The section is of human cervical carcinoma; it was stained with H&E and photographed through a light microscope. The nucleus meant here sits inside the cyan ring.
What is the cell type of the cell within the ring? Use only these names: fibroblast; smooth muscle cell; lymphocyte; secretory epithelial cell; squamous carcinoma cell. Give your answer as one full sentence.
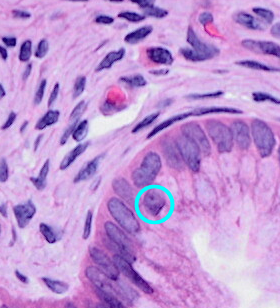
Microscopically, the cell within the ring is categorized as a secretory epithelial cell.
